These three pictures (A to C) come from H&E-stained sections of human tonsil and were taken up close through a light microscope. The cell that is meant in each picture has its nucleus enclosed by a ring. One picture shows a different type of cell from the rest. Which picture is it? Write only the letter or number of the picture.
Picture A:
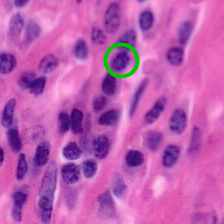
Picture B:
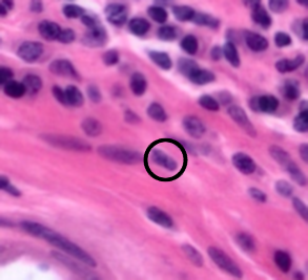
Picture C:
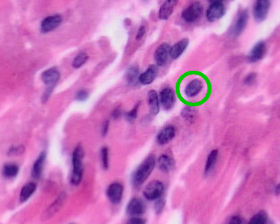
A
